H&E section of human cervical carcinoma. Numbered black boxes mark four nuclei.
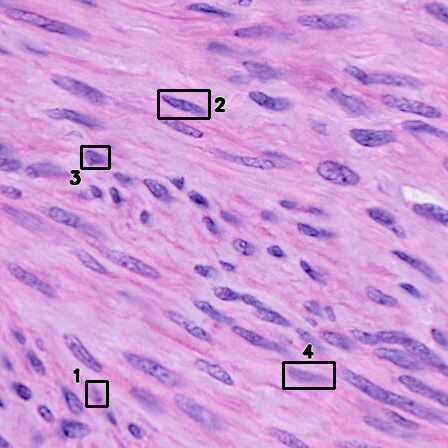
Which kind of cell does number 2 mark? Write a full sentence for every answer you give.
The one labeled 2 is a fibroblast, to put it simply.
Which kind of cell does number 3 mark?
At number 3, the marked cell is a smooth muscle cell.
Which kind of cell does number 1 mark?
The nucleus labelled 1 belongs to a smooth muscle cell.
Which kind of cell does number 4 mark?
Heads up, the cell numbered 4 is a smooth muscle cell.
